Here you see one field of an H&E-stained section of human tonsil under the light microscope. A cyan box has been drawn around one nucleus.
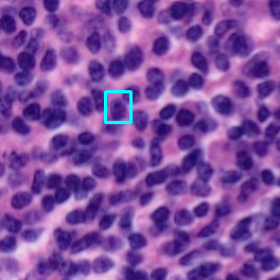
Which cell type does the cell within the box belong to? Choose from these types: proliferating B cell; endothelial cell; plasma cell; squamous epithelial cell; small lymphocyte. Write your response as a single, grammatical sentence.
It is as a small lymphocyte that the cell within the box is recorded.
